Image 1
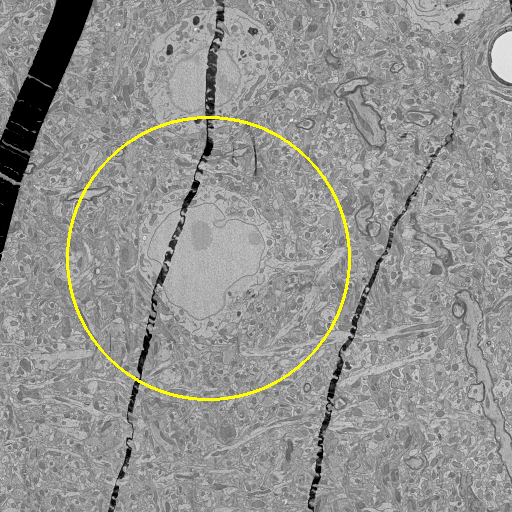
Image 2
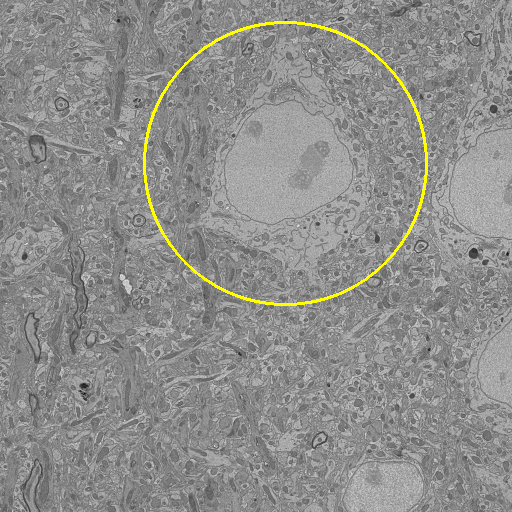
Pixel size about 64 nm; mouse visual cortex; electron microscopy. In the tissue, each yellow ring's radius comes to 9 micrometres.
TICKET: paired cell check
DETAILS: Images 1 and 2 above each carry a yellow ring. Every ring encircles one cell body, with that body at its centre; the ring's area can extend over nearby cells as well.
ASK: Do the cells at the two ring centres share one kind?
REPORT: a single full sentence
Yes, the ring-centre cells of Images 1 and 2 belong to a single kind.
